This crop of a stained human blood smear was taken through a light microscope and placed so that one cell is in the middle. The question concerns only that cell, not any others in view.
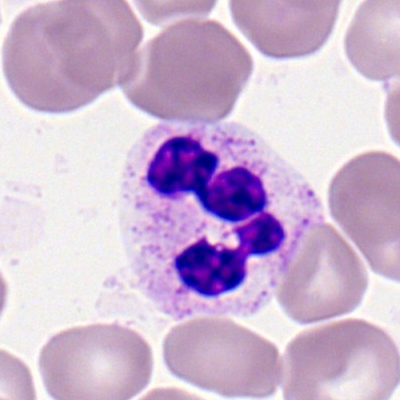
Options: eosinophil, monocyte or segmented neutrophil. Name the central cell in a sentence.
The cell that lies at the centre of the crop is a segmented neutrophil.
